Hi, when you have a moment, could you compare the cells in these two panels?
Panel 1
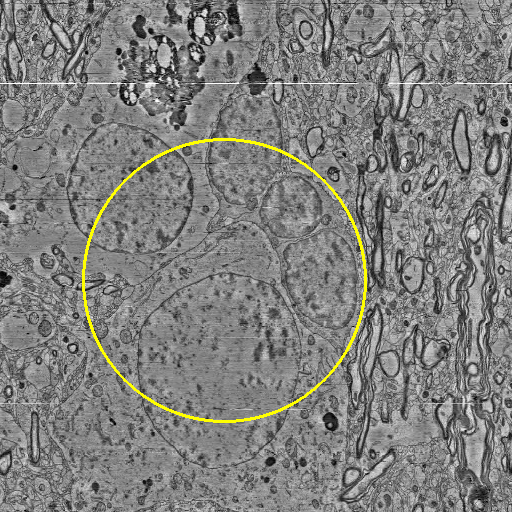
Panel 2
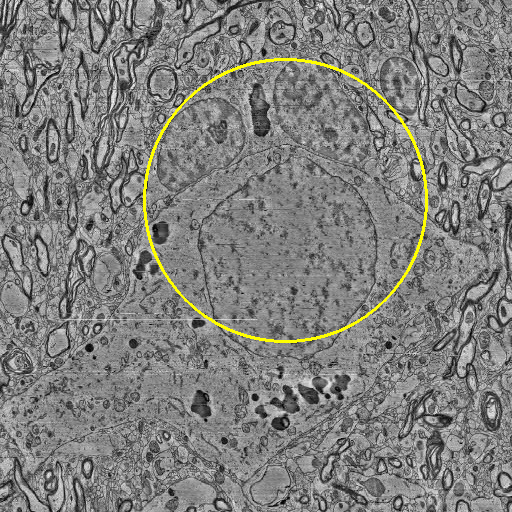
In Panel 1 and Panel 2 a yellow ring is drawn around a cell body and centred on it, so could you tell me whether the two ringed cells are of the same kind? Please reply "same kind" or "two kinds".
same kind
